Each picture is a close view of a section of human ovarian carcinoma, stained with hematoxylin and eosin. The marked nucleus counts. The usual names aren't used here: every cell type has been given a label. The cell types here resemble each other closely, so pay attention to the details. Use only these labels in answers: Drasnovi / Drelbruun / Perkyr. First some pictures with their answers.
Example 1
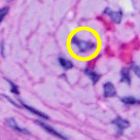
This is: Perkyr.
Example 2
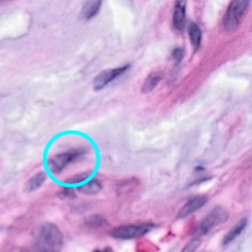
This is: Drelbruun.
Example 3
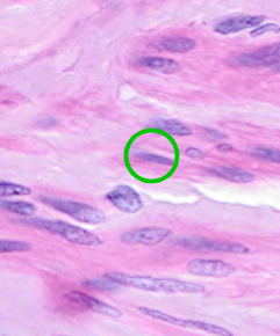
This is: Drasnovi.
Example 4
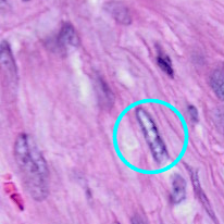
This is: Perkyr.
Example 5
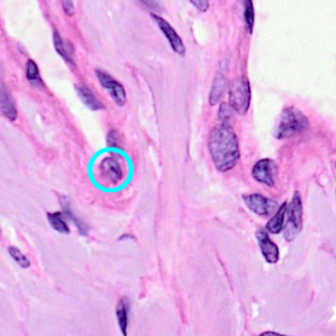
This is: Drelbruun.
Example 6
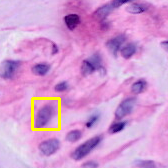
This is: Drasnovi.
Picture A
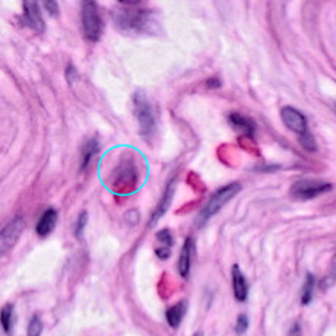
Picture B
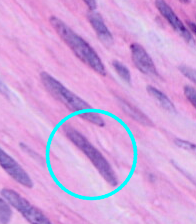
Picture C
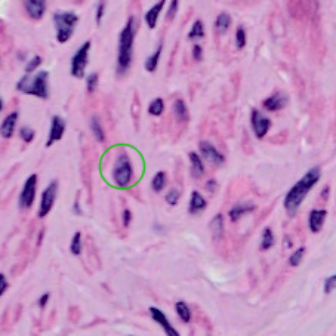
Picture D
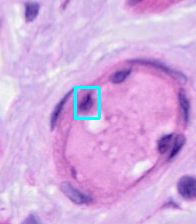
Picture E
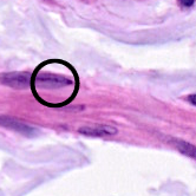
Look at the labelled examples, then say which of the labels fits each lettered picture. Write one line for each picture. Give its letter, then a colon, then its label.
A: Drelbruun.
B: Drasnovi.
C: Drasnovi.
D: Drelbruun.
E: Drasnovi.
